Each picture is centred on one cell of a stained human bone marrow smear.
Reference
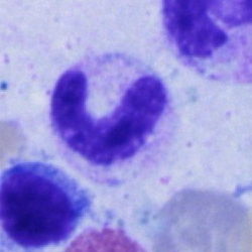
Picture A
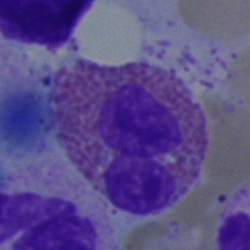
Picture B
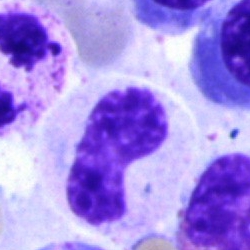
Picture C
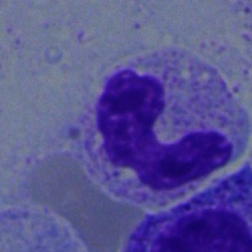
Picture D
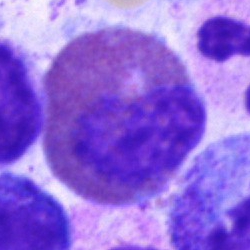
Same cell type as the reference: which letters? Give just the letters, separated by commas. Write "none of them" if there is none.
B, C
